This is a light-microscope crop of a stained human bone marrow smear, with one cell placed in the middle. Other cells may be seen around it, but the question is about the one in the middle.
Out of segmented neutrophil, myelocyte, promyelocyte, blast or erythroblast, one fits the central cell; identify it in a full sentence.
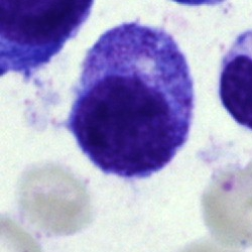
In the middle of this smear crop is a myelocyte.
